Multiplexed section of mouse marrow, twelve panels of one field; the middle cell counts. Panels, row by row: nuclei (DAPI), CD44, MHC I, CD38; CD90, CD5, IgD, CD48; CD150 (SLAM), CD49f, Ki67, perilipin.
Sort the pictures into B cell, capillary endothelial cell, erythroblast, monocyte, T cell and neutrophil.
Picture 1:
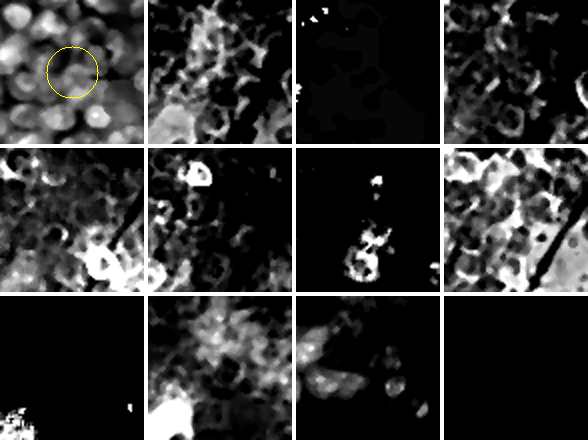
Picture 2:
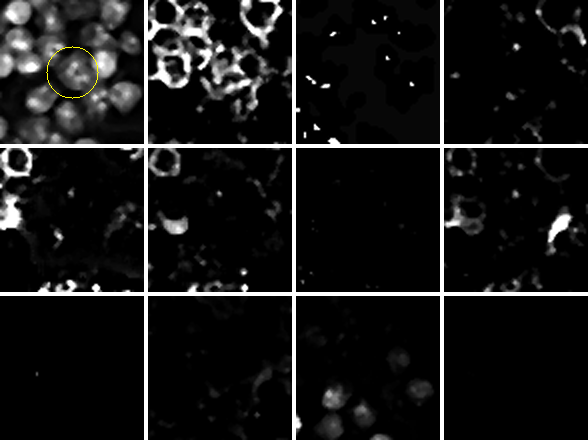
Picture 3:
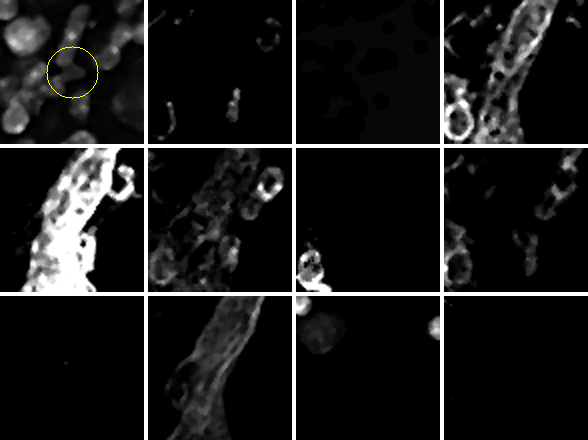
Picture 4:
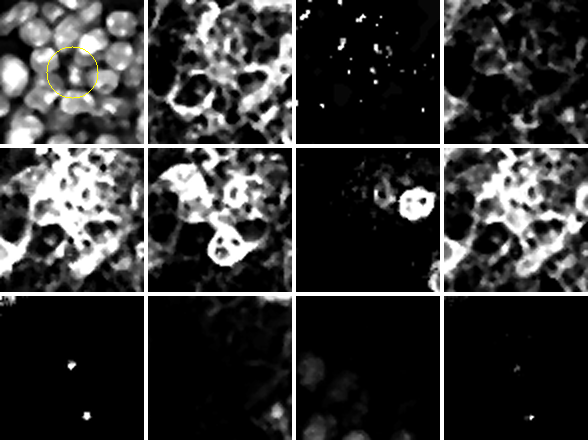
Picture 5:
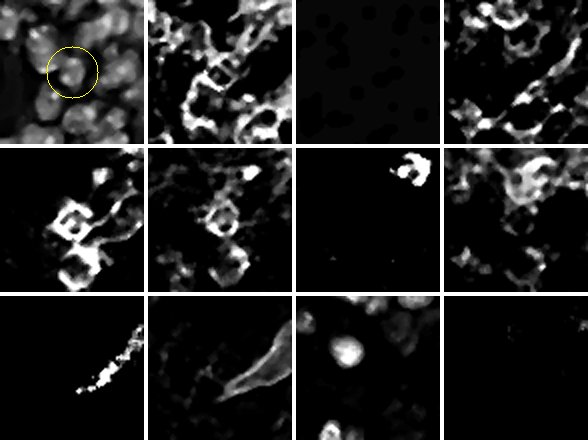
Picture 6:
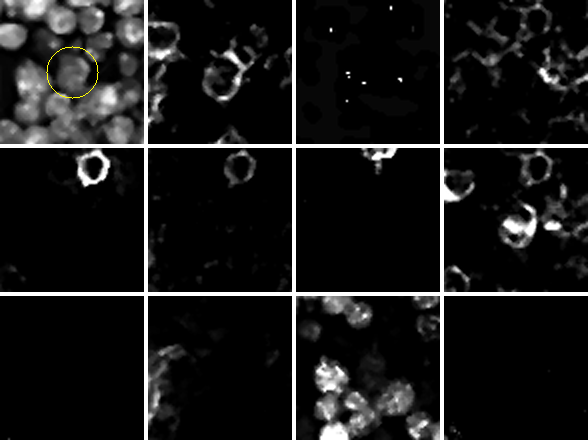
B cells: 1
Neutrophils: 2
Capillary endothelial cells: 3, 6
Monocytes: 4
T cells: 5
